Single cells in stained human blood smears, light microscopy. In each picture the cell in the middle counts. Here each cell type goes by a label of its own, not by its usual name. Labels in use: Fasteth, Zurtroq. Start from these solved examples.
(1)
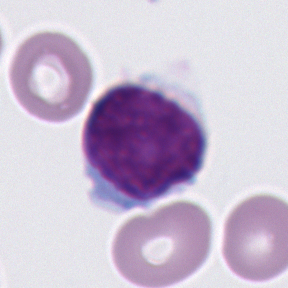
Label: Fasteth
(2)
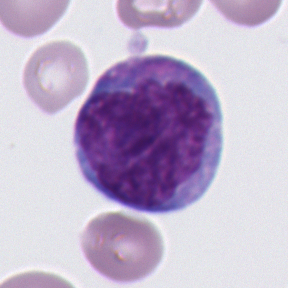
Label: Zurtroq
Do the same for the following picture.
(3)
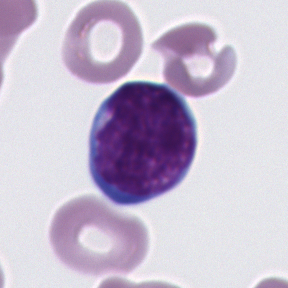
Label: Fasteth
